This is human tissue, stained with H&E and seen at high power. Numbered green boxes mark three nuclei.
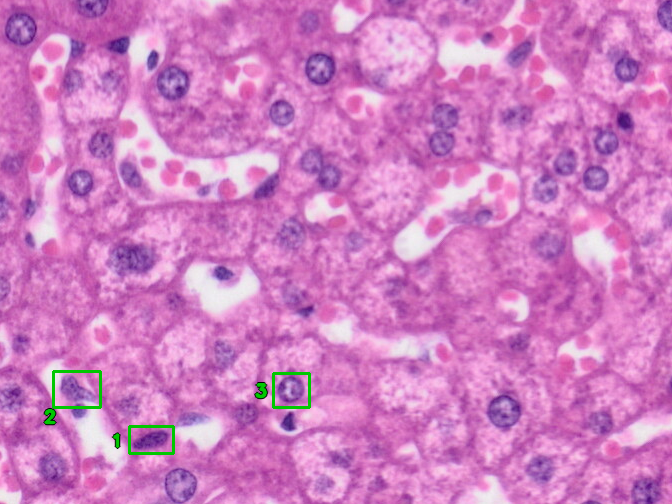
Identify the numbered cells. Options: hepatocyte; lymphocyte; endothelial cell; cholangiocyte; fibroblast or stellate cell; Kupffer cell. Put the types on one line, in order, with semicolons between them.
fibroblast or stellate cell; Kupffer cell; hepatocyte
